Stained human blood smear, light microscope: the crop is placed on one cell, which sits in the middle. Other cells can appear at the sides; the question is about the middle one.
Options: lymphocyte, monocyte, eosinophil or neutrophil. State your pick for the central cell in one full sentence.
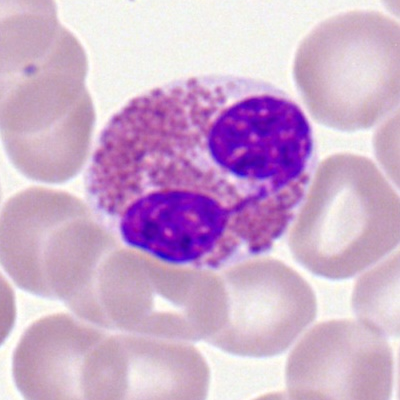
This crop is built around an eosinophil at its centre.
